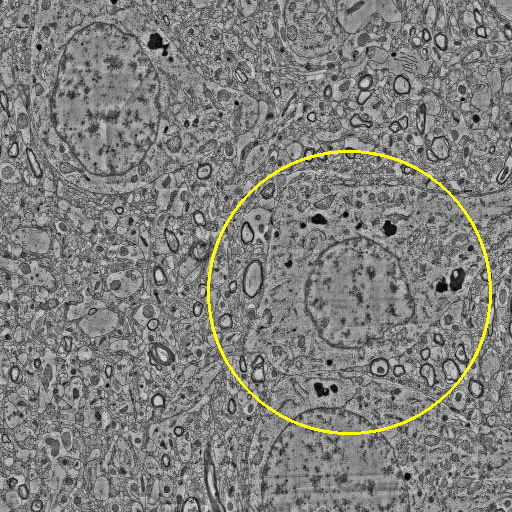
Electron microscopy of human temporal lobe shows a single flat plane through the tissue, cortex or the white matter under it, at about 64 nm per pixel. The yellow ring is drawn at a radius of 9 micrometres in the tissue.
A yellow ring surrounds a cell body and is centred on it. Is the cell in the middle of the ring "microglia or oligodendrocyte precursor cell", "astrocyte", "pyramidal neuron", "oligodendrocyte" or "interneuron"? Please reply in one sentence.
The ring is centred on a pyramidal neuron.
